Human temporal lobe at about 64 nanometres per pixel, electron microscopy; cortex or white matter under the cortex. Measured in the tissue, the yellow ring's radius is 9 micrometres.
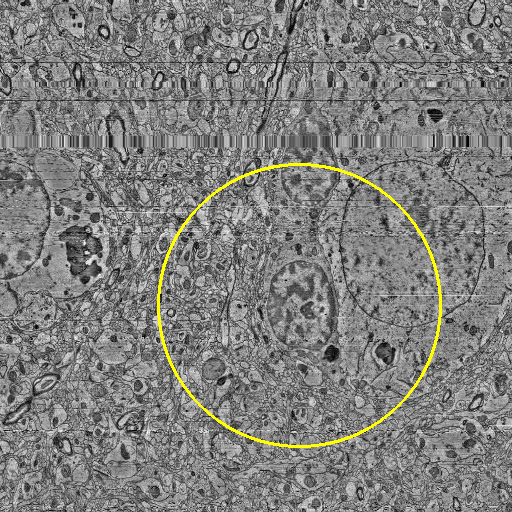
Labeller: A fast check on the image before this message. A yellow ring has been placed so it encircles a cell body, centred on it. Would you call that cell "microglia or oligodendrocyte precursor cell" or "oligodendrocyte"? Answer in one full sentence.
In this image, an oligodendrocyte is the cell on which the yellow ring is centred.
